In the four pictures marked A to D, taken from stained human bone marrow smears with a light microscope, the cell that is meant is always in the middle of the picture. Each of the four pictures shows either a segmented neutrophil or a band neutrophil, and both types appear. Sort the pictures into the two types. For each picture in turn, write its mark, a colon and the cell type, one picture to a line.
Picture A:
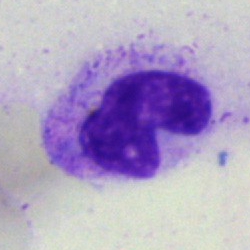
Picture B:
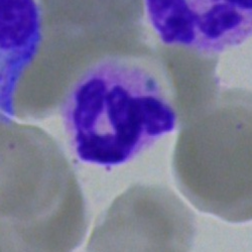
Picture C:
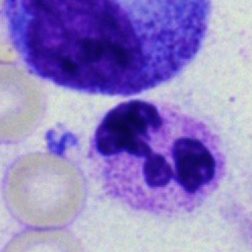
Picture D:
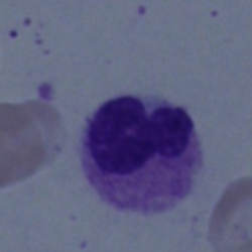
A: band neutrophil
B: segmented neutrophil
C: segmented neutrophil
D: band neutrophil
